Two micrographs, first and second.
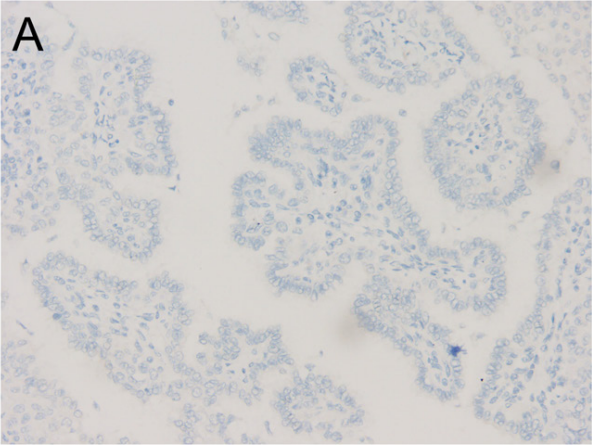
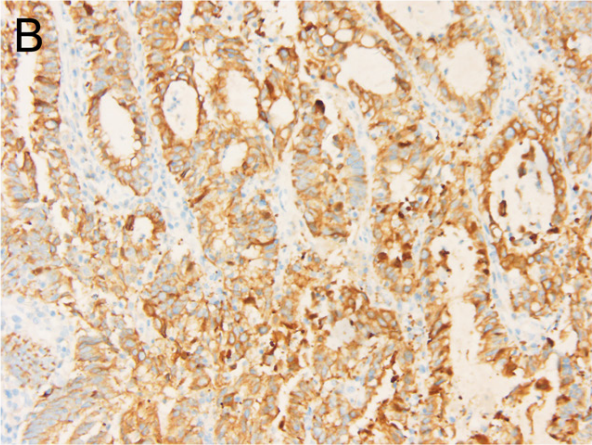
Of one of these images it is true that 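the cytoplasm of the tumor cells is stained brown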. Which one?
The second image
